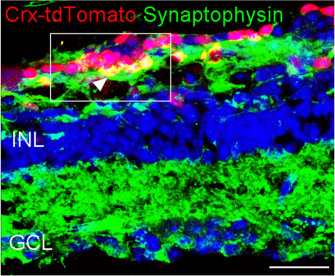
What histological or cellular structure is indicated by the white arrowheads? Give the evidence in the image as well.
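Presynaptic formation. Green puncta overlap the red cells at the outer edge of the retina. The arrowheads point where green and red meet, appearing yellow.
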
